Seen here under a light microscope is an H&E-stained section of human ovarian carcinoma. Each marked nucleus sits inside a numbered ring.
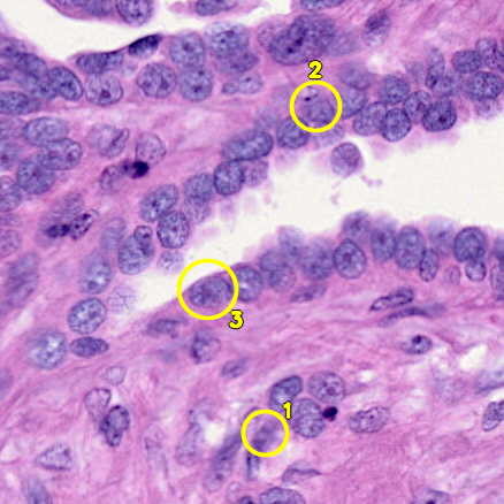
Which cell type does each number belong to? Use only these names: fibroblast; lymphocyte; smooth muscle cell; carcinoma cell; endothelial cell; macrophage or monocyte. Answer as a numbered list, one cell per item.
1. fibroblast
2. carcinoma cell
3. carcinoma cell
